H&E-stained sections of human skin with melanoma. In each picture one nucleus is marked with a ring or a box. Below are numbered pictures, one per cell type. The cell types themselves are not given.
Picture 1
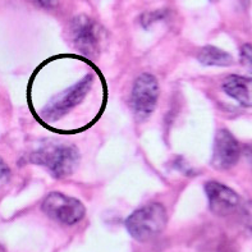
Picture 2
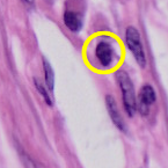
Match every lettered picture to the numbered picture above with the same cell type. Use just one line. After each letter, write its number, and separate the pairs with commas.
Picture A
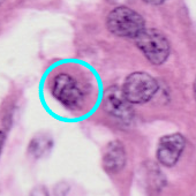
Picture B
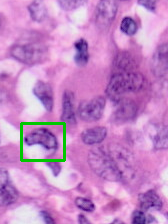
A 1, B 1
